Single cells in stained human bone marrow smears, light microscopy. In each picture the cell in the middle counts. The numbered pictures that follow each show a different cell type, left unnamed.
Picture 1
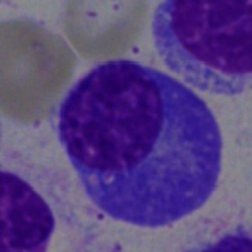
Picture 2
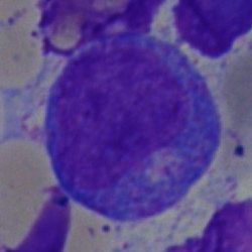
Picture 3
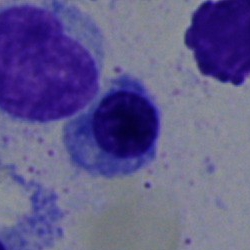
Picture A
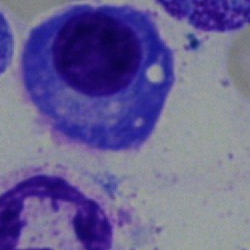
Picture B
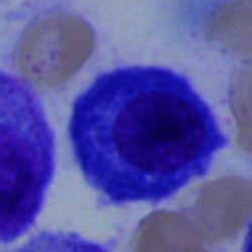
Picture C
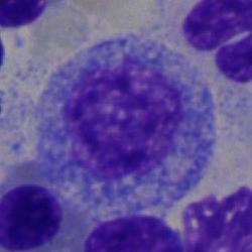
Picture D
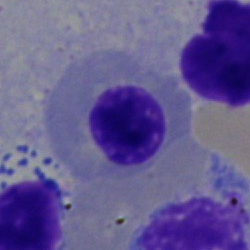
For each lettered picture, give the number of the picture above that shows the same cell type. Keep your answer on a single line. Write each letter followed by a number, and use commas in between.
A 1, B 1, C 2, D 3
